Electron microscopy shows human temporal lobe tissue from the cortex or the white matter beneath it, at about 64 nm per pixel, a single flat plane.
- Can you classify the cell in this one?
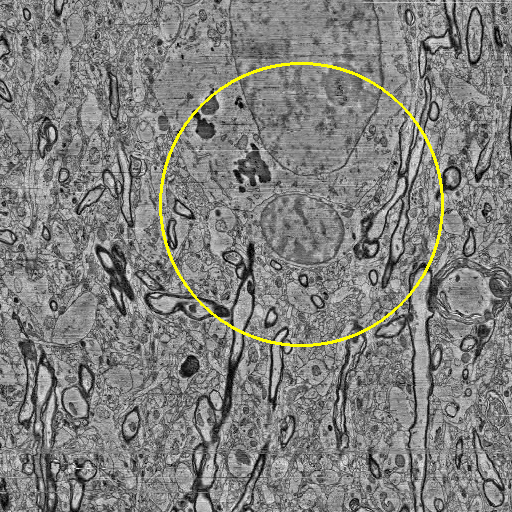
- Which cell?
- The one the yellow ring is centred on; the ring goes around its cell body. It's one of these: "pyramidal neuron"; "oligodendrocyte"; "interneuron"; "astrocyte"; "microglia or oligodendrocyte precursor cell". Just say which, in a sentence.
The cell body in the ring belongs to an oligodendrocyte.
